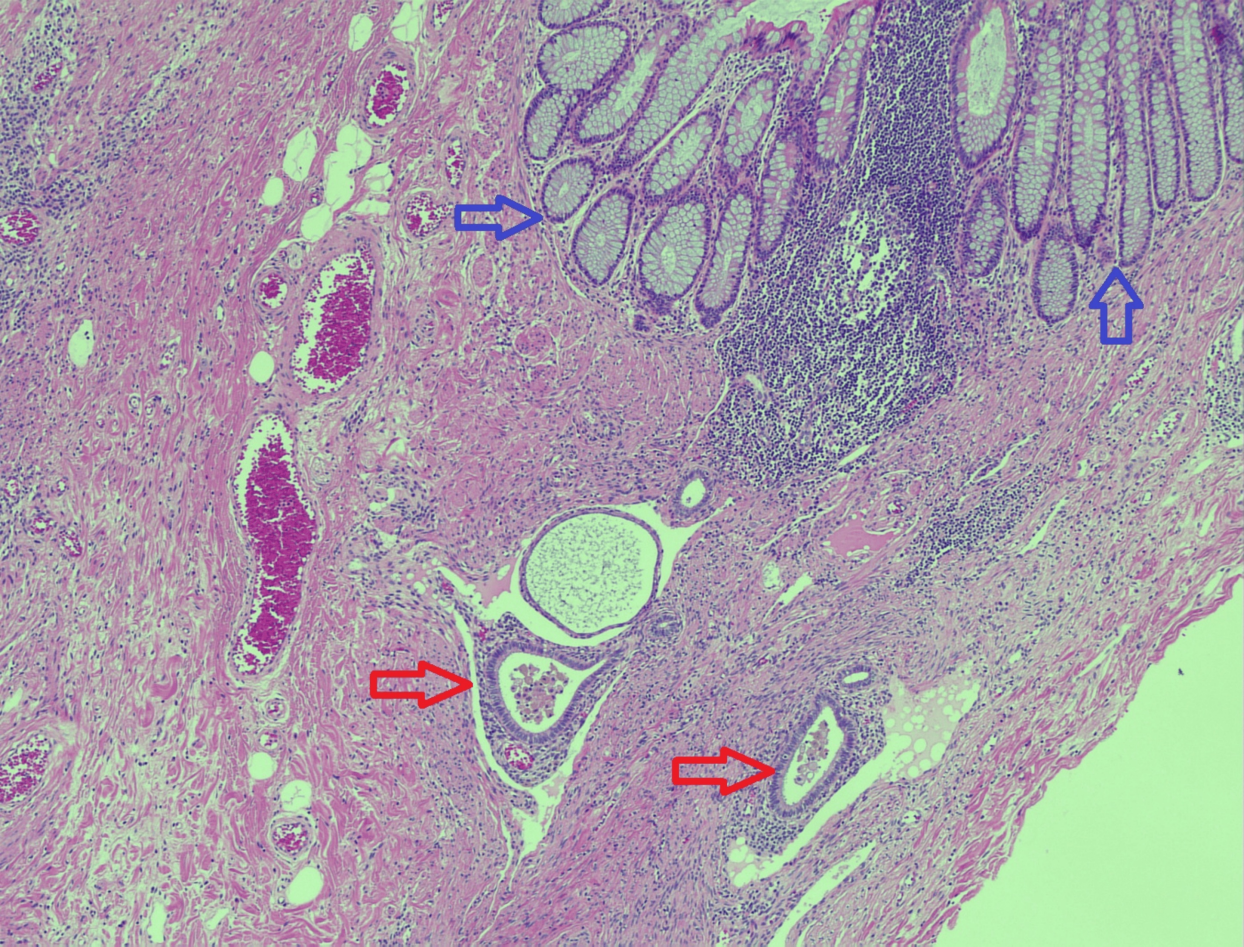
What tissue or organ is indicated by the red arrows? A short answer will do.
Endometrial-type glands and stroma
